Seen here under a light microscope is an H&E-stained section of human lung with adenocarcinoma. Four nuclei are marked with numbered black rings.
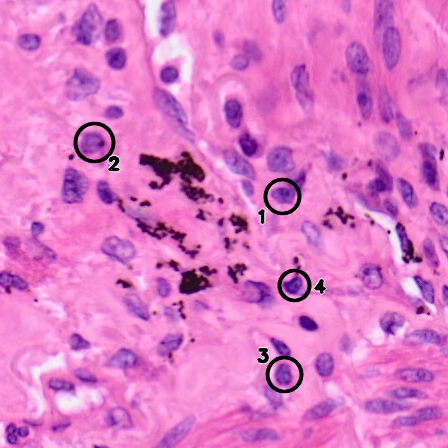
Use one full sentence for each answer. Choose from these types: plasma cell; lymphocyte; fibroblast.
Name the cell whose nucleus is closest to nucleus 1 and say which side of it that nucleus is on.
It is a plasma cell, whose nucleus lies above and to the right of nucleus 1.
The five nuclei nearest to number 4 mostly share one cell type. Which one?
Fibroblasts make up most of the five nuclei closest to number 4.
